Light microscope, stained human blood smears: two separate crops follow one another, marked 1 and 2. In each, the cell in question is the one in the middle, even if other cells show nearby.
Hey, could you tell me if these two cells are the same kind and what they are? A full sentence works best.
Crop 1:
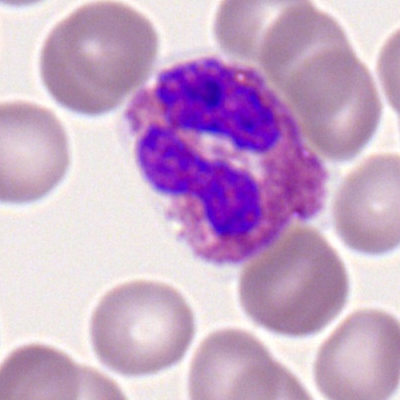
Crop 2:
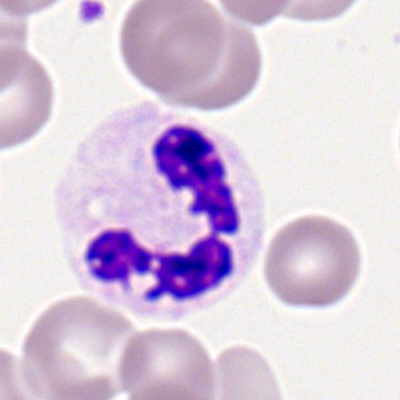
No, crop 2 holds a segmented neutrophil, while crop 1 holds an eosinophil.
